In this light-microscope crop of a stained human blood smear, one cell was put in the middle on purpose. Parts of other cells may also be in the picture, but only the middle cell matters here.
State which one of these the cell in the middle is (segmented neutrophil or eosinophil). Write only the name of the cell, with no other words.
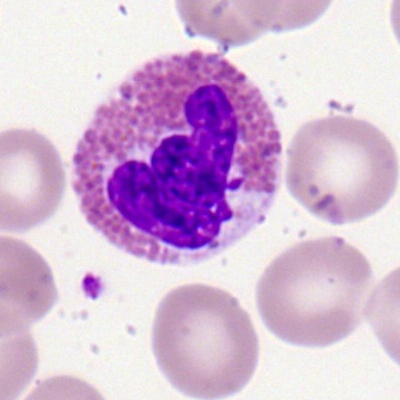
eosinophil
